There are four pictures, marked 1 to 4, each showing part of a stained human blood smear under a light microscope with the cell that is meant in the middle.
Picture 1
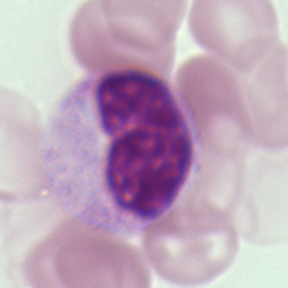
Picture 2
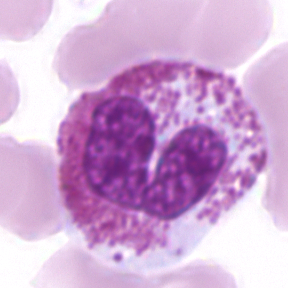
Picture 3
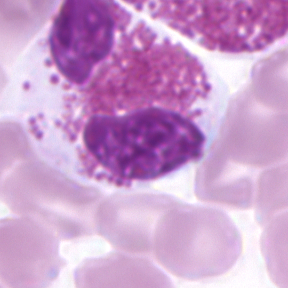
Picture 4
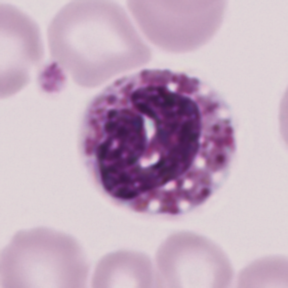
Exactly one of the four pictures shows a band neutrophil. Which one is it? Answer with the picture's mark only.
1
